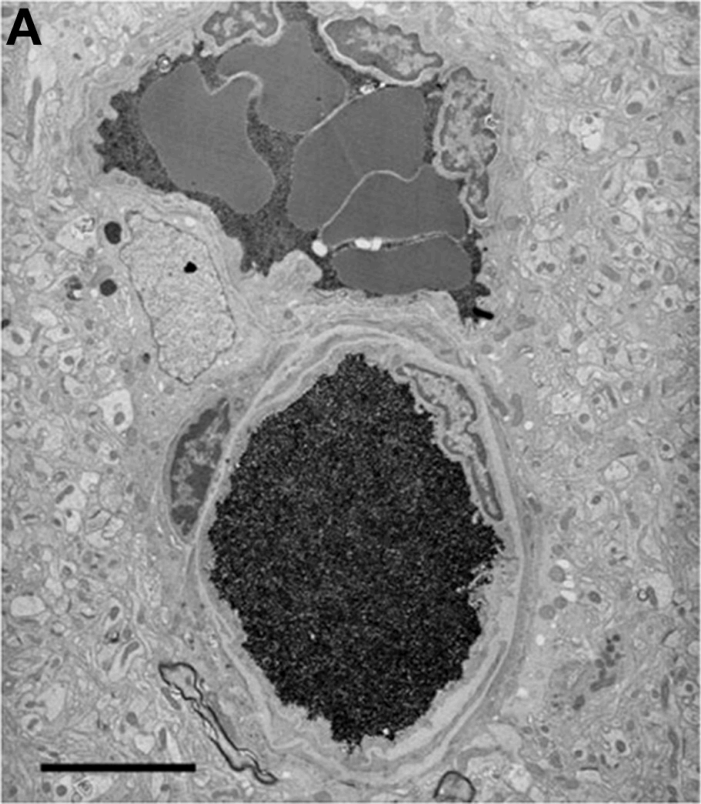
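The upper vessel holds several smooth grey red blood cells embedded in the dark material, while the lower one is packed with granular dark deposit. Thin endothelial walls with elongated nuclei line the lumens, and the surrounding neuropil of cut cell processes shows no dark deposit.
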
